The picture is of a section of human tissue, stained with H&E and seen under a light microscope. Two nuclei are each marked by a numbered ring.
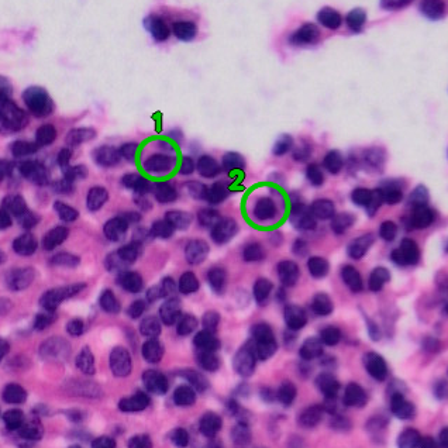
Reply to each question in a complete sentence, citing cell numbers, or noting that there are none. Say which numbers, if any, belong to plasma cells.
As for the numbered cells, only cell 2 is a plasma cell.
